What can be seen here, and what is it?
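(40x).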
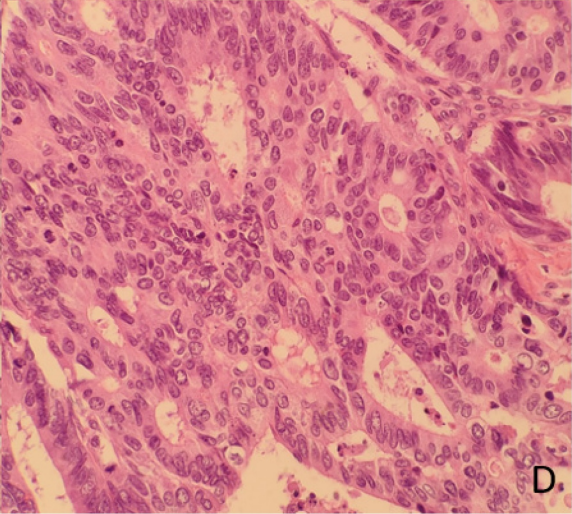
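High-power view of adenocarcinoma composed of atypical epithelioid cells arranged around small glandular lumens. The nuclei are enlarged, oval to elongated and vary markedly in size and shape, with vesicular chromatin and distinct nucleoli, and the cytoplasm is pink. The cells are crowded and stratified, and small round lumens lie within the cell sheets, some containing pale pink material.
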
